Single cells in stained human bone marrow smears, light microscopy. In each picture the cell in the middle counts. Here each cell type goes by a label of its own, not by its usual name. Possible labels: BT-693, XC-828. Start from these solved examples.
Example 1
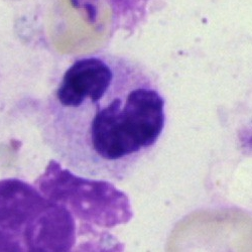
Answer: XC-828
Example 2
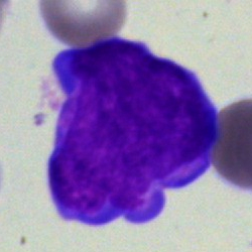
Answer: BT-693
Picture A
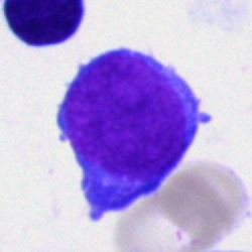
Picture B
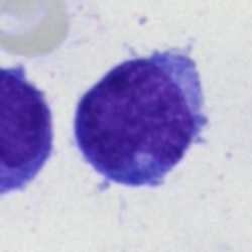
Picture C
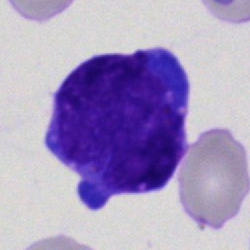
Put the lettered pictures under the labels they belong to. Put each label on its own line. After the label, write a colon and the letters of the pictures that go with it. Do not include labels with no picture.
BT-693: A, B, C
